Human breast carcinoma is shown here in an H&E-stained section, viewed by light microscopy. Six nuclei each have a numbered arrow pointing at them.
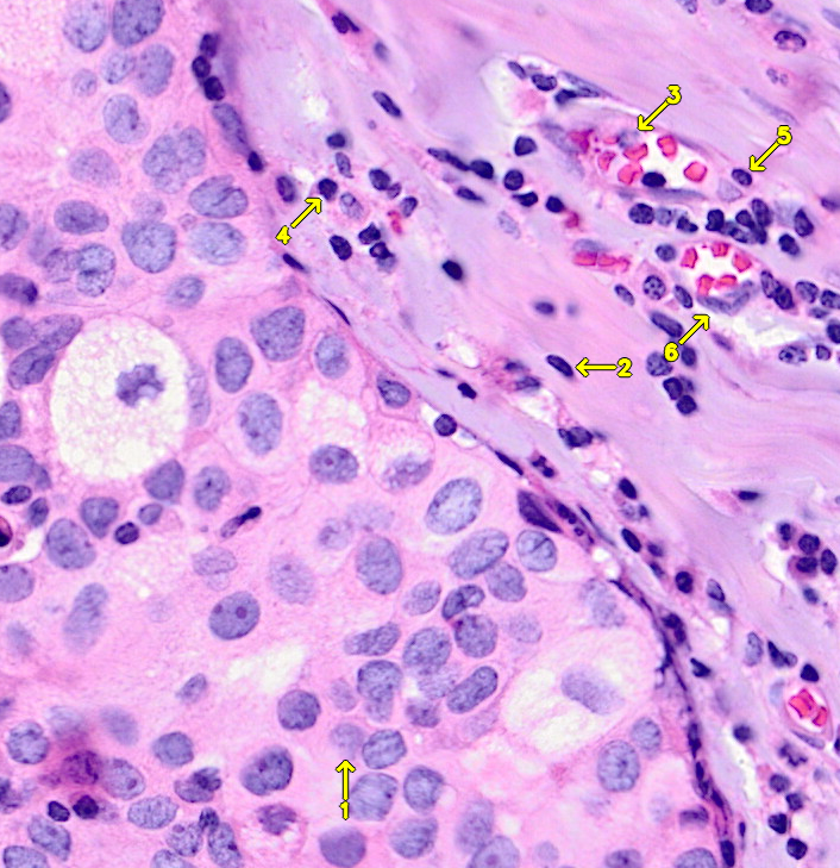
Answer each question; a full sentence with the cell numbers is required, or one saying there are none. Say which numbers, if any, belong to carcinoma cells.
Cell 1 is a carcinoma cell and is the only numbered cell of that kind.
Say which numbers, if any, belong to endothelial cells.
The cells with numbers 3 and 6 are endothelial cells by type.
